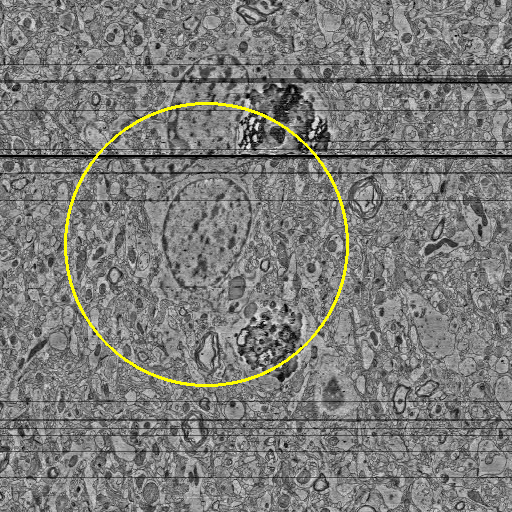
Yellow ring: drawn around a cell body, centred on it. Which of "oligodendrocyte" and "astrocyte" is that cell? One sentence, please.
That cell body is from an astrocyte.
